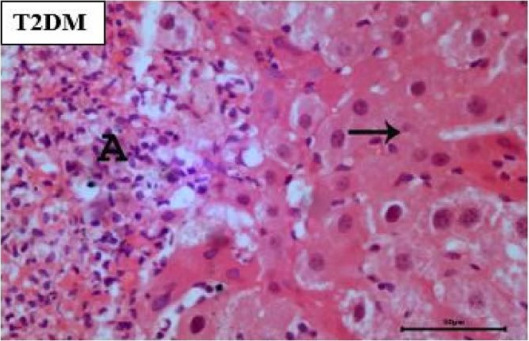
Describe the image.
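This is liver at high magnification, where large hepatocytes with round nuclei and pink cytoplasm lie on the right. On the left the parenchyma is crowded by many small cells with dark, round nuclei, a dense mononuclear inflammatory infiltrate. Some hepatocytes look pale and cleared, and between them lie irregular bands of deeper pink material. The normal orderly cords are lost where the infiltrate sits.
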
